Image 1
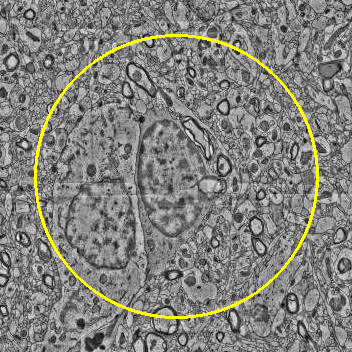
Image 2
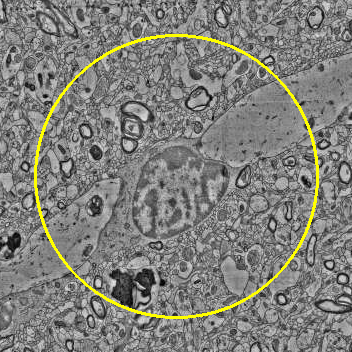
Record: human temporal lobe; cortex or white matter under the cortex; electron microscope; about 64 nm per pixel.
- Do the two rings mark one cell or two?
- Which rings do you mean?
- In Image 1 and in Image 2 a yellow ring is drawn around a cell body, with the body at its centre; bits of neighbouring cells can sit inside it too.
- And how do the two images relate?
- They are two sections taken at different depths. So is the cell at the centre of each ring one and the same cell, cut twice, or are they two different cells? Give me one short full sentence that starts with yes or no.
No, the rings mark separate cells, one per ring.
